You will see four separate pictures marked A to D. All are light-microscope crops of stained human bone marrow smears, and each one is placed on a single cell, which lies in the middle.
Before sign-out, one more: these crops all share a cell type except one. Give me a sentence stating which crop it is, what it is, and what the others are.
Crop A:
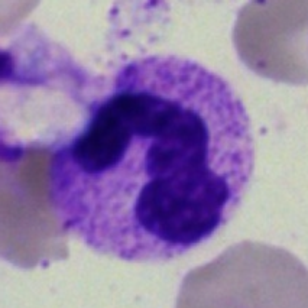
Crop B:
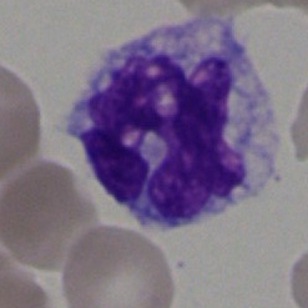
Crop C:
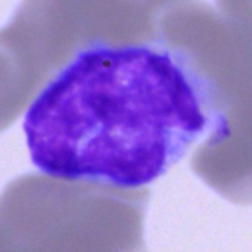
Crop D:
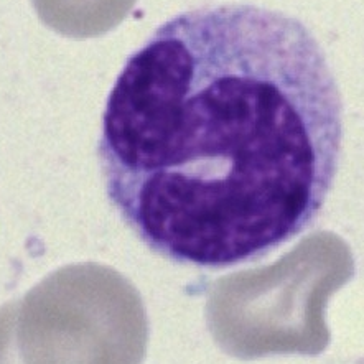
Identified in crop A is a segmented neutrophil, whereas the other crops all show monocytes.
